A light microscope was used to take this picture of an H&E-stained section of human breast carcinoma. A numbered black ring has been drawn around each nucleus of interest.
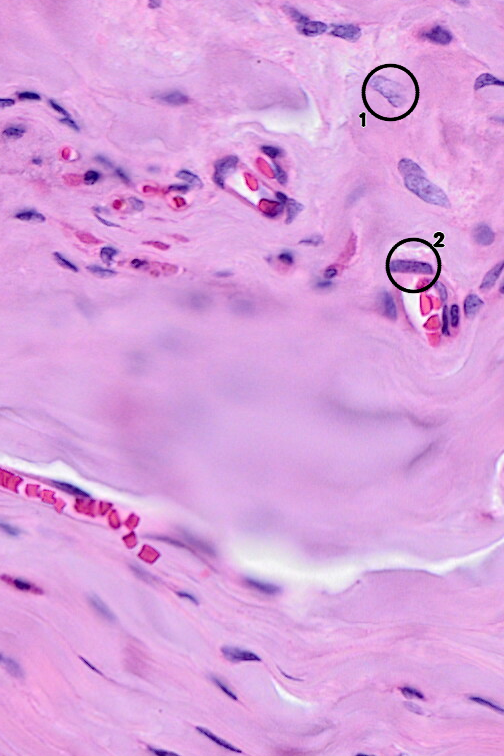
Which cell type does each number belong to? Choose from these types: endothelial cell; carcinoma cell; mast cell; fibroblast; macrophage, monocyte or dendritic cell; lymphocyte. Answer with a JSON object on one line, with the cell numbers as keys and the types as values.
{"1": "fibroblast", "2": "endothelial cell"}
